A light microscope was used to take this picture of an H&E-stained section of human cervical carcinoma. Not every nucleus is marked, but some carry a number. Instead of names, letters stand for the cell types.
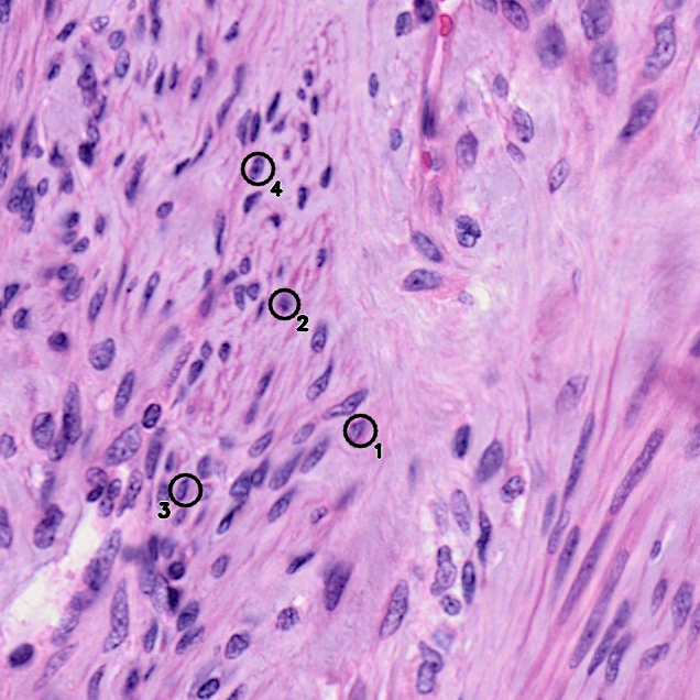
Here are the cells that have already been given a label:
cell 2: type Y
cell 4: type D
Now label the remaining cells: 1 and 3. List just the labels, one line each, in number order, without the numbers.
type Y
type Y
